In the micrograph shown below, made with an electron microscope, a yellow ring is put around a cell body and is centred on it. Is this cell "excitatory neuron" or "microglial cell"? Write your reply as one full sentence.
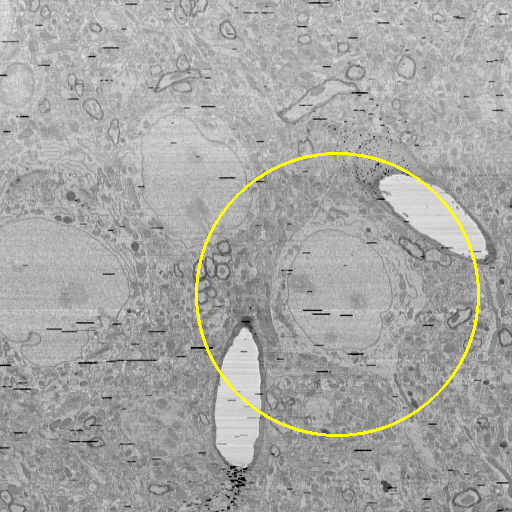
In the micrograph, an excitatory neuron is the cell at the centre of the yellow ring.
